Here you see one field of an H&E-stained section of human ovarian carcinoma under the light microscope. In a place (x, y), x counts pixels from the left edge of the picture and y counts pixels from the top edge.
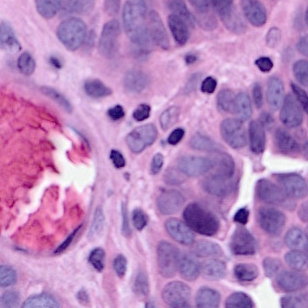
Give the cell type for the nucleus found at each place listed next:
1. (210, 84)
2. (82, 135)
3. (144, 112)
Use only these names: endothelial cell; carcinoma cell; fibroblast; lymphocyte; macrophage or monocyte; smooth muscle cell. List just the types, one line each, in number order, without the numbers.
lymphocyte
endothelial cell
lymphocyte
